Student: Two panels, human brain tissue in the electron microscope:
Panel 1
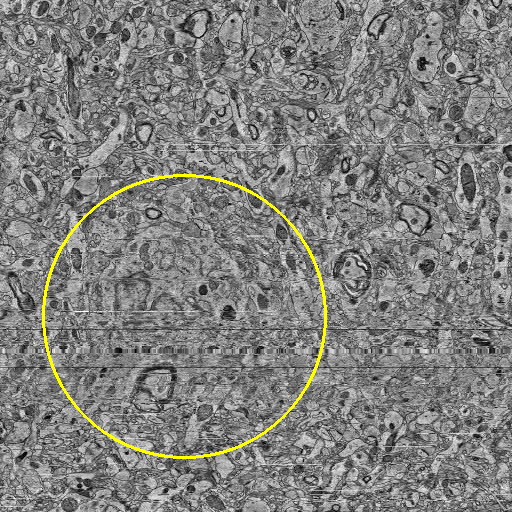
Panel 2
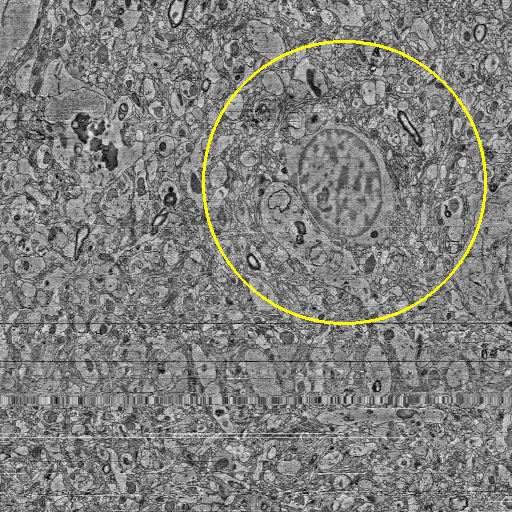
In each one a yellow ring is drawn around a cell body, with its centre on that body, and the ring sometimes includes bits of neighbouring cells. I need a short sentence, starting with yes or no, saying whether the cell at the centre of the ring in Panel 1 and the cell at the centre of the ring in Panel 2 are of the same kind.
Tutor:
No, they are two kinds of cell.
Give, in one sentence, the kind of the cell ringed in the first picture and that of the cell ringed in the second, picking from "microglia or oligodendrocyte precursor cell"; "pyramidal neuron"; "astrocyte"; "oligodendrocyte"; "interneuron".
For the first picture it is an interneuron; for the second, an oligodendrocyte.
